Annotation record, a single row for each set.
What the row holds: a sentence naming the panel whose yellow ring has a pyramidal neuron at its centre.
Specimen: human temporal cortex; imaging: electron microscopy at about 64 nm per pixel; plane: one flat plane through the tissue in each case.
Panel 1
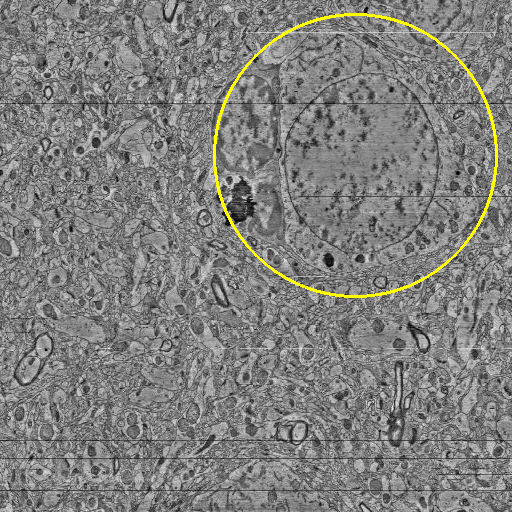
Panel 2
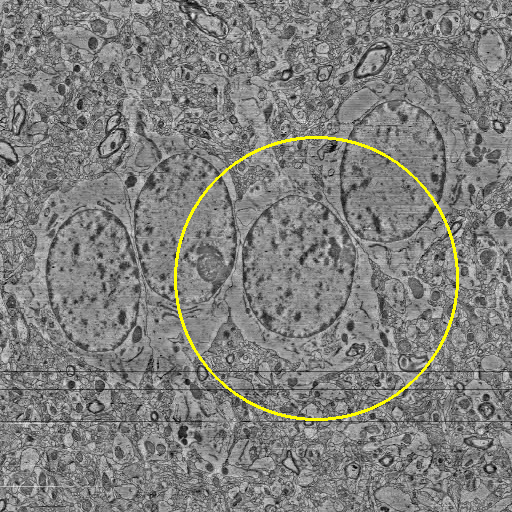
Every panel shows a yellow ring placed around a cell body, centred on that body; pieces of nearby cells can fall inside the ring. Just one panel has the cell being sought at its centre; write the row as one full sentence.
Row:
In panel 1, the cell at the middle of the yellow ring is the one sought.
